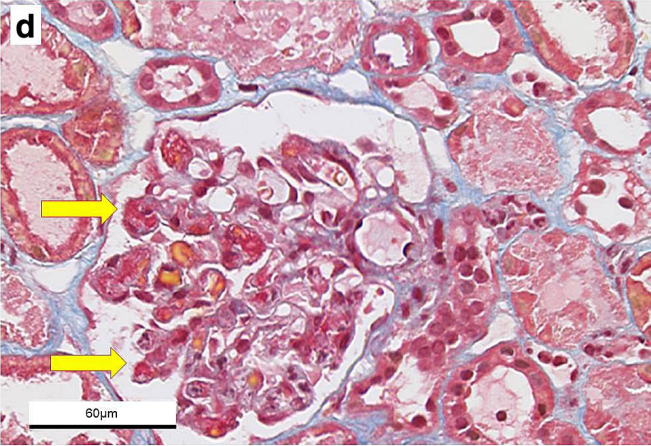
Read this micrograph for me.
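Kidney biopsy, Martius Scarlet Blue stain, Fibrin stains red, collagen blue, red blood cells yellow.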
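A rounded tuft of capillary loops with many crowded nuclei lies within a space, surrounded by tubules cut in cross-section with pink cytoplasm and thin blue interstitium between them. Within several loops of the tuft sit dense red to orange-yellow deposits that fill the lumina. This is a glomerulus whose capillaries contain multiple microthrombi.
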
